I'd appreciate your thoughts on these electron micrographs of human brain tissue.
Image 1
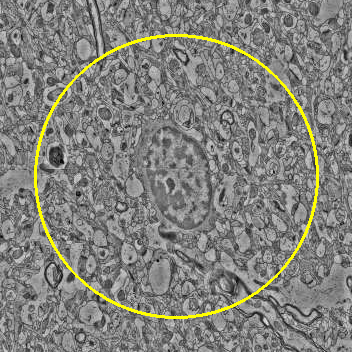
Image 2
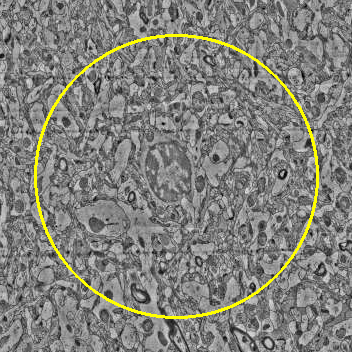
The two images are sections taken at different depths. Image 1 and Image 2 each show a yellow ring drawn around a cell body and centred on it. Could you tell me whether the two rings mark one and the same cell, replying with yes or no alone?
no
